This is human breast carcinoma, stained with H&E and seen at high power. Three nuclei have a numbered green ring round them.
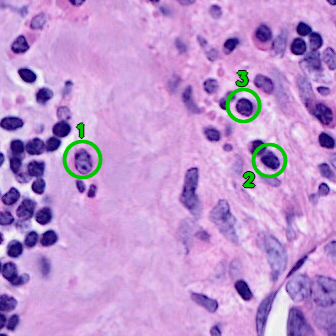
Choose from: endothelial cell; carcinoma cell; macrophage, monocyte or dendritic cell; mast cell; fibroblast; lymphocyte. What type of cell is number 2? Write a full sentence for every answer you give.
Cell 2, among those numbered, is a lymphocyte.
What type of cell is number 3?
The correct label for cell 3 is a lymphocyte.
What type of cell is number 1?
Looking at the numbered marks, cell 1 is a mast cell.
